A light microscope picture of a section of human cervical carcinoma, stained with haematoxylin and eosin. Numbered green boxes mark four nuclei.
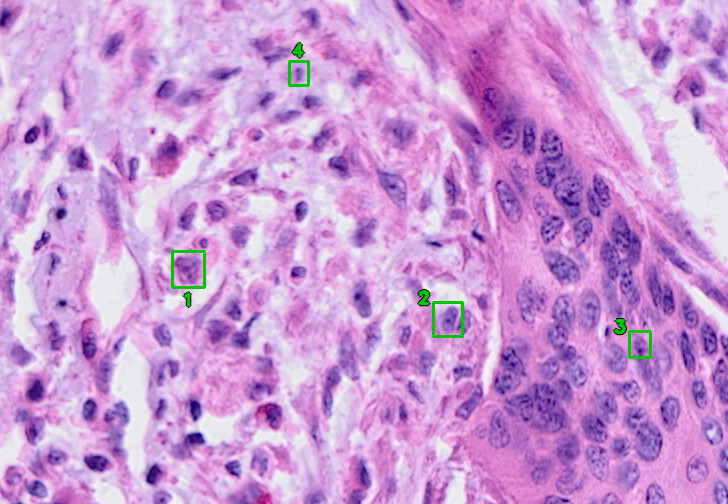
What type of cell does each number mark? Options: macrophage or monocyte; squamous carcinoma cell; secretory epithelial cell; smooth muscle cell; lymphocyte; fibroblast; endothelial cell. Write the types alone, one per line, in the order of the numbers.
macrophage or monocyte
fibroblast
squamous carcinoma cell
fibroblast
